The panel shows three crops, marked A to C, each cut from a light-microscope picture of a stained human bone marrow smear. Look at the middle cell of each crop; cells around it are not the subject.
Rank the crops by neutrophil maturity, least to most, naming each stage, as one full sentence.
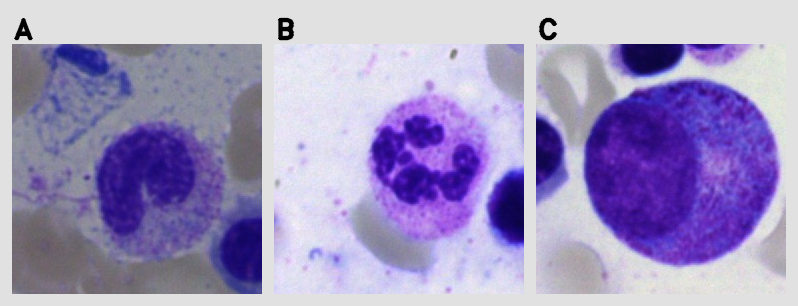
Ranked from least to most mature, the sequence is crop C (a promyelocyte), crop A (a band neutrophil) and crop B (a segmented neutrophil).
